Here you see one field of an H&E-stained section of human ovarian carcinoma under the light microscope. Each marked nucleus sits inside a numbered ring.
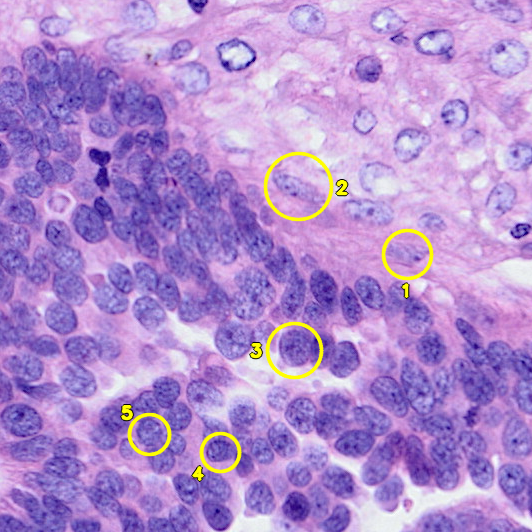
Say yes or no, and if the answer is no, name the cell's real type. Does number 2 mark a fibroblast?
Yes.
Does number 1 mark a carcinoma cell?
No, it is a fibroblast.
